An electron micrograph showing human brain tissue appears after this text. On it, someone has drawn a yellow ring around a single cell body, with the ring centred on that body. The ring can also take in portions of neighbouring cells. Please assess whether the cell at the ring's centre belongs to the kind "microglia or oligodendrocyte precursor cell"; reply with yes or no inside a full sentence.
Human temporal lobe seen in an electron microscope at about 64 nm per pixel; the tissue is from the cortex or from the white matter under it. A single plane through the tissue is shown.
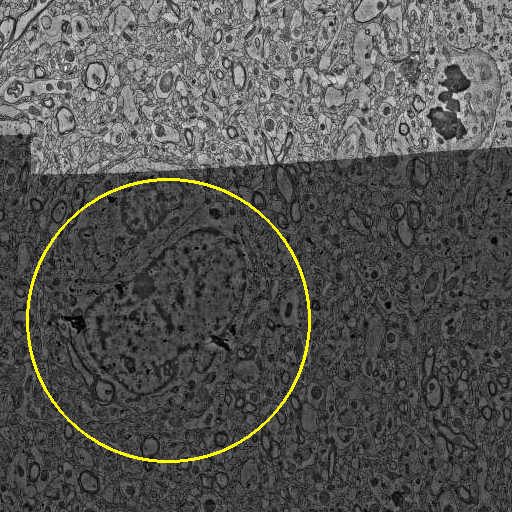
Yes, in this micrograph the cell at the centre of the ring is of that kind.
